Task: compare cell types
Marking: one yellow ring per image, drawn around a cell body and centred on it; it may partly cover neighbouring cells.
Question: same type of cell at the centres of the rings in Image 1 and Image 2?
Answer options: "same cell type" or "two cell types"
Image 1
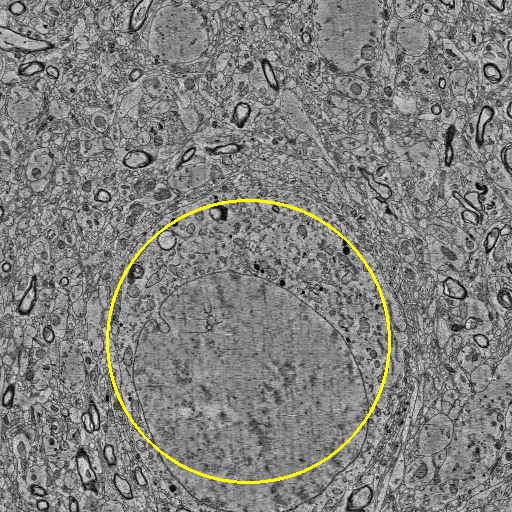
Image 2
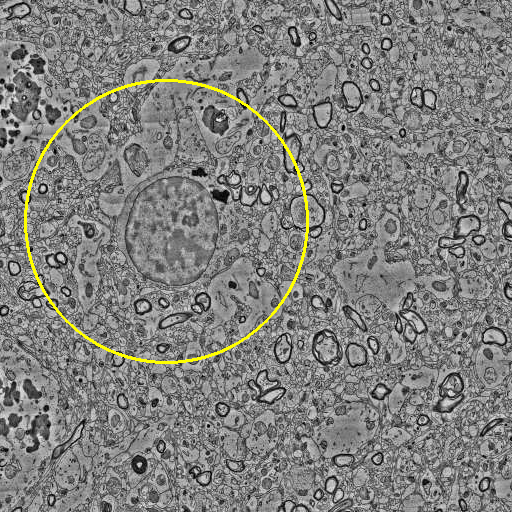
two cell types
